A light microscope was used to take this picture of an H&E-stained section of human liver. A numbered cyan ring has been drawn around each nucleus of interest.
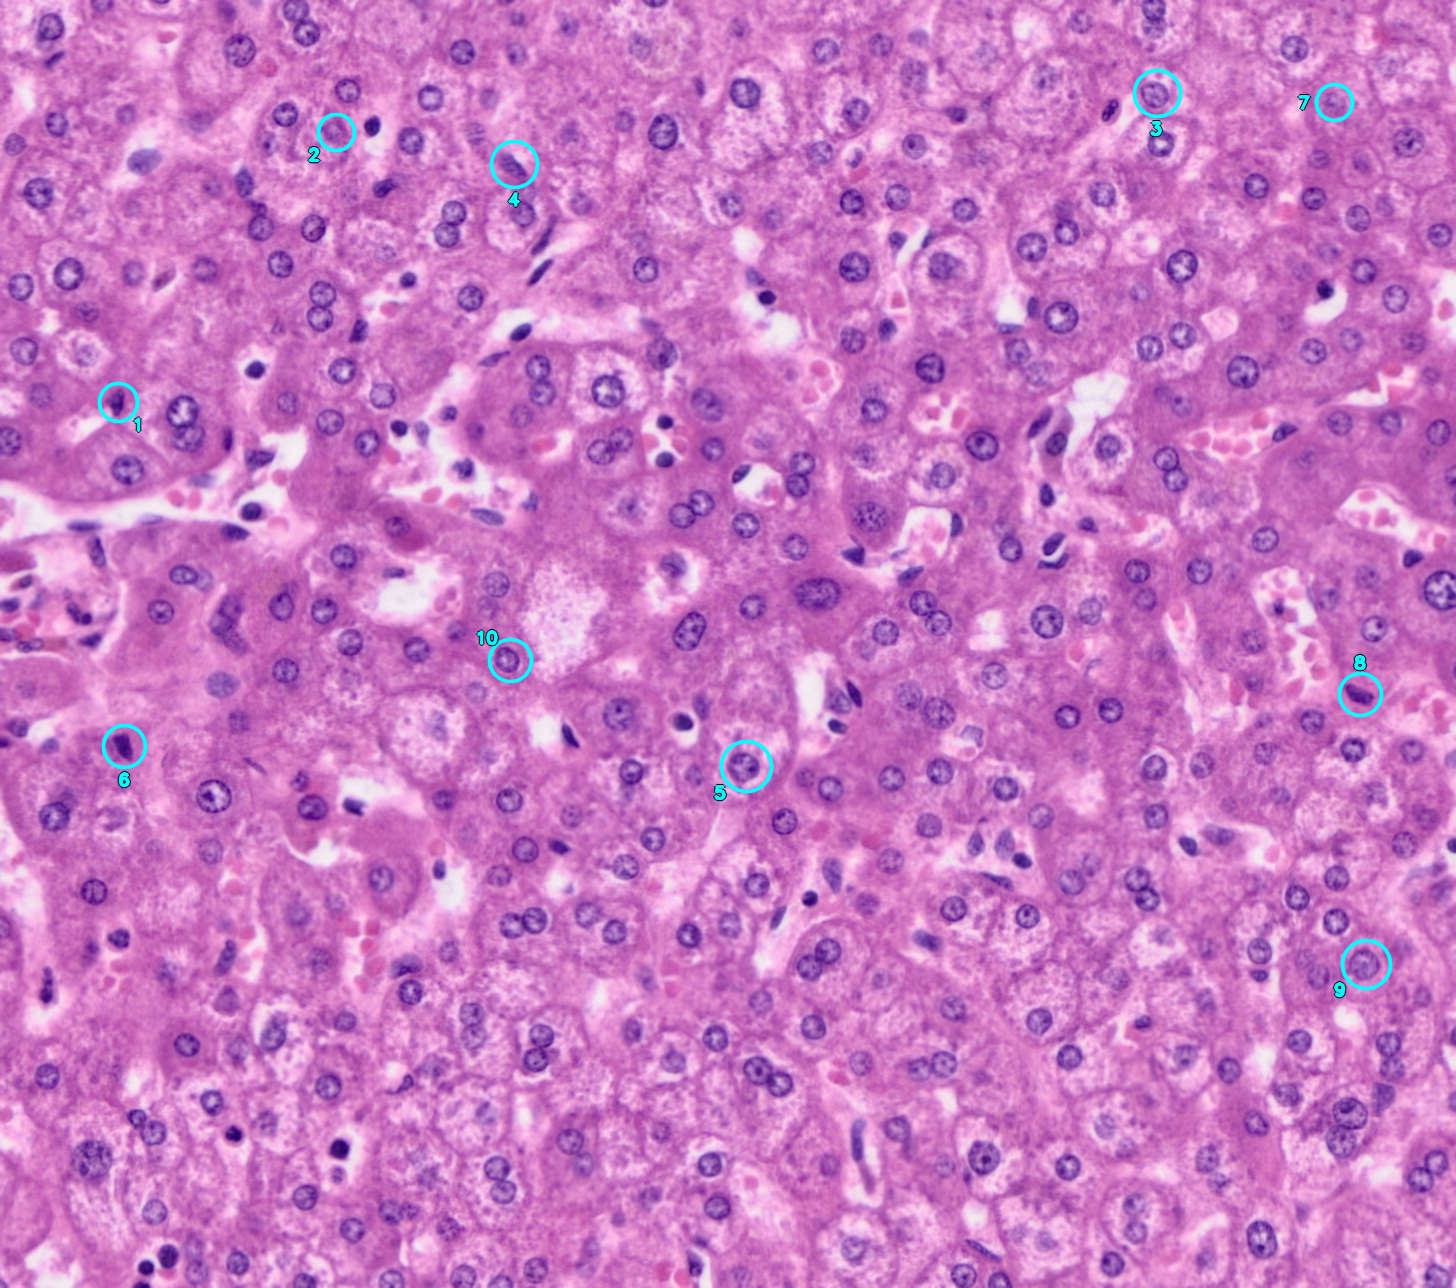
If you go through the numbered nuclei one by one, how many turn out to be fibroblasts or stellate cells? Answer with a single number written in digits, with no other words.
3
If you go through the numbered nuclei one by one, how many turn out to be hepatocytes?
6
